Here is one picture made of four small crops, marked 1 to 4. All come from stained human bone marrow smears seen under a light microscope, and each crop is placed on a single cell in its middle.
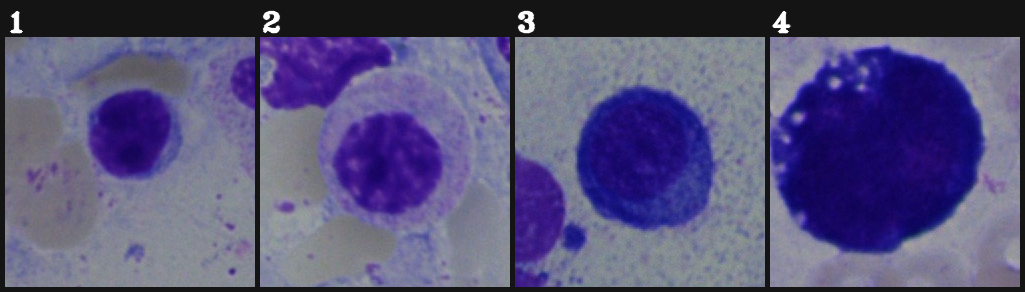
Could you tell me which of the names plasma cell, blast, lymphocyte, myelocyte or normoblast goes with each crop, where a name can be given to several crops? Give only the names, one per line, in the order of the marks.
lymphocyte
myelocyte
plasma cell
blast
